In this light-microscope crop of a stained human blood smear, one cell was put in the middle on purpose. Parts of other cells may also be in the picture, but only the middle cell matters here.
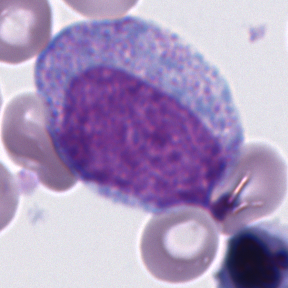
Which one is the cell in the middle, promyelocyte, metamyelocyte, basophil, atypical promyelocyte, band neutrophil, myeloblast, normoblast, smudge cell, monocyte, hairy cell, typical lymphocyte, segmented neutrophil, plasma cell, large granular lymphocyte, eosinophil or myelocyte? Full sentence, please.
Of the cells in this crop, the central one is a promyelocyte.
